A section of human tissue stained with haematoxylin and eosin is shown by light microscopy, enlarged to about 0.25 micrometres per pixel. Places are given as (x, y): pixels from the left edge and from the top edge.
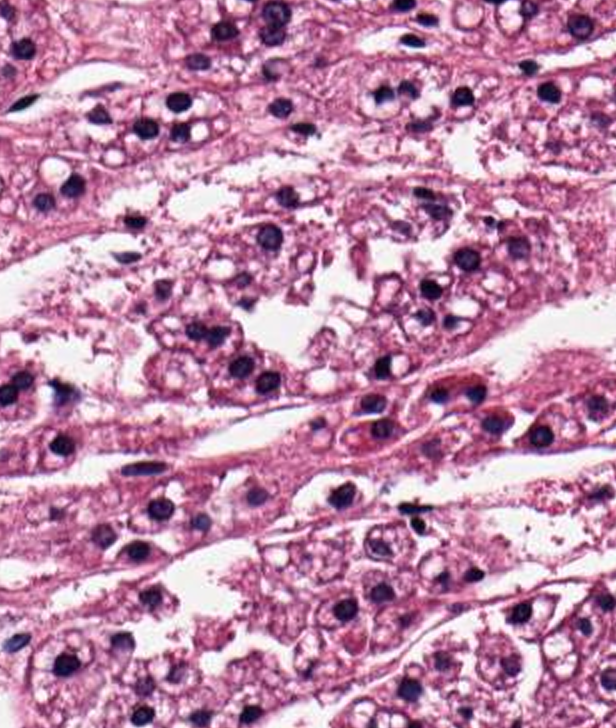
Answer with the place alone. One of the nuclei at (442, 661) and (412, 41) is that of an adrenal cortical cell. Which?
(442, 661)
